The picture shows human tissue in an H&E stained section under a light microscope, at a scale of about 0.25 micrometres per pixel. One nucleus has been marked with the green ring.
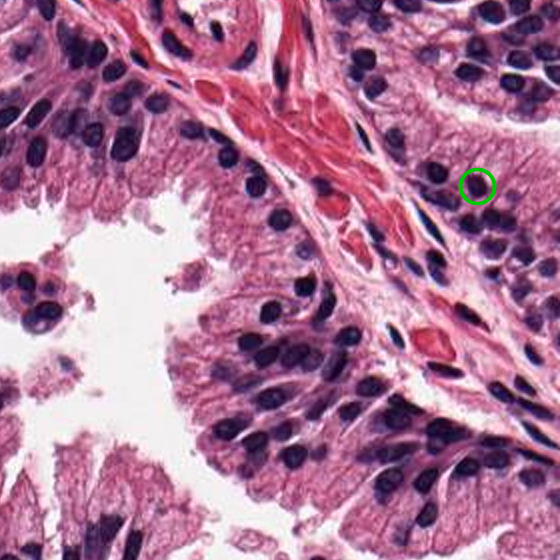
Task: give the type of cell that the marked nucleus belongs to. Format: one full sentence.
It is to a prostate gland luminal cell that the marked nucleus belongs.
